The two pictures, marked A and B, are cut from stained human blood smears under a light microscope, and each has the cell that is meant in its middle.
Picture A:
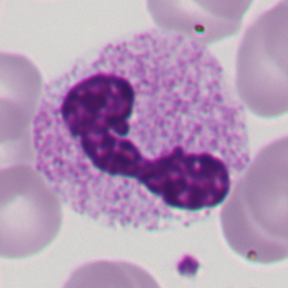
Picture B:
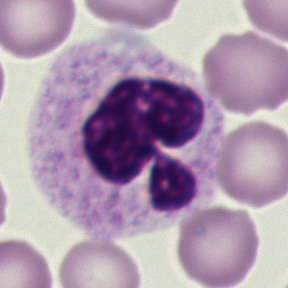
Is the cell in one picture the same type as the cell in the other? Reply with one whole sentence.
Yes; the cells in both pictures are segmented neutrophils.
